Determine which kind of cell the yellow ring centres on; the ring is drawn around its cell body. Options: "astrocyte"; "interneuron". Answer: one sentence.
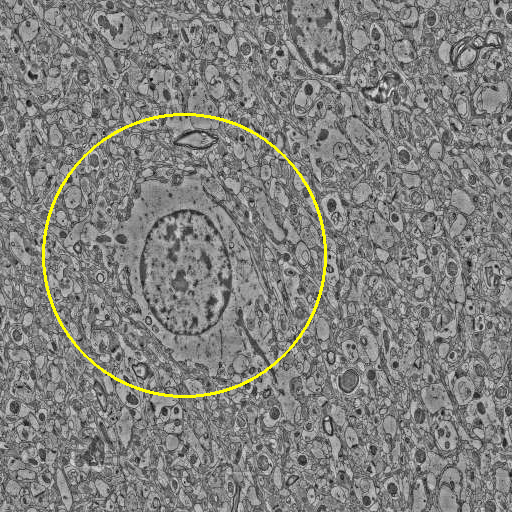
The ring centres on an astrocyte.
